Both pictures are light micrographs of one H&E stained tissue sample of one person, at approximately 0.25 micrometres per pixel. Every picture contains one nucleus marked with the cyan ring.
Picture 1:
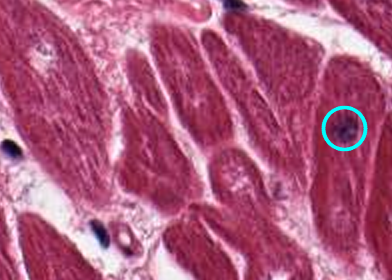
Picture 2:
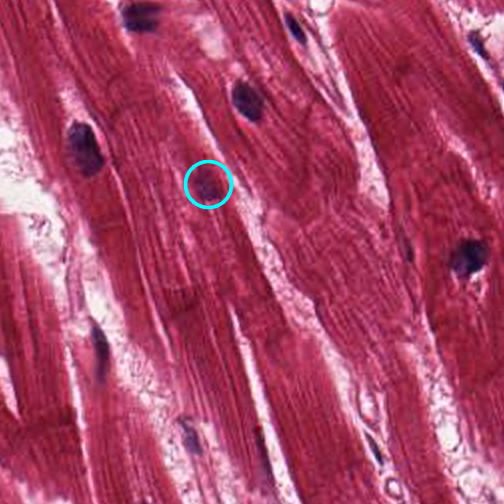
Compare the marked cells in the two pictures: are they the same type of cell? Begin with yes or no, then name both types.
Yes, both are cardiomyocytes.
